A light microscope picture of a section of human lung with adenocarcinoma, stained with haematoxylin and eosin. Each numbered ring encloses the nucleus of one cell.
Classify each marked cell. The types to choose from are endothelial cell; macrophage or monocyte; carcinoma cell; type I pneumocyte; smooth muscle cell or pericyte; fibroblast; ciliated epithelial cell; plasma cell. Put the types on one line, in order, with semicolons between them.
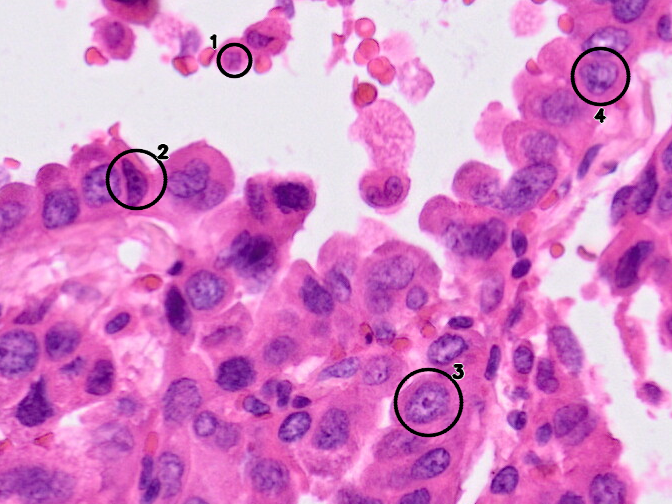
macrophage or monocyte; carcinoma cell; carcinoma cell; carcinoma cell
